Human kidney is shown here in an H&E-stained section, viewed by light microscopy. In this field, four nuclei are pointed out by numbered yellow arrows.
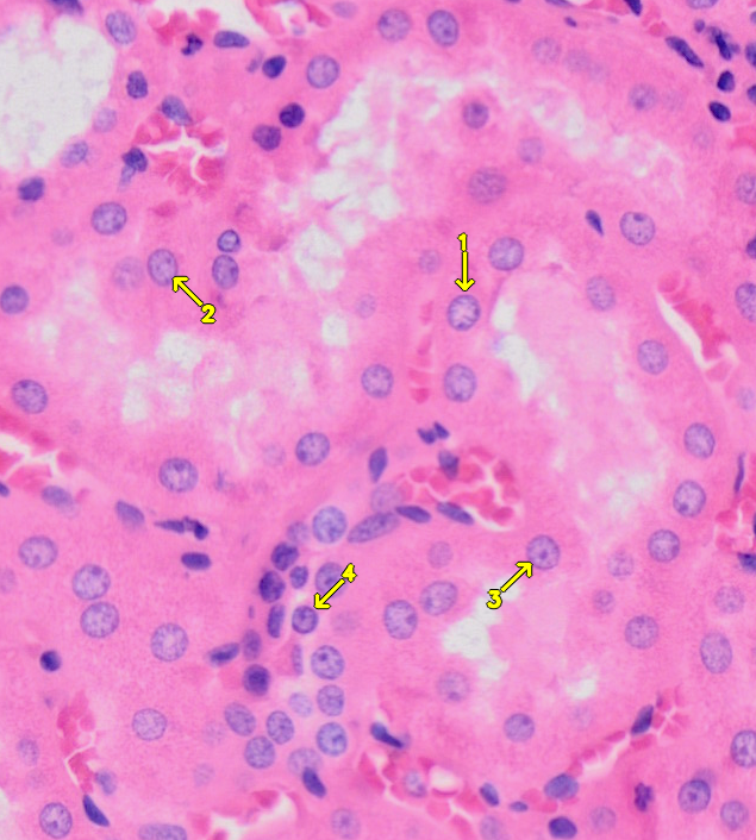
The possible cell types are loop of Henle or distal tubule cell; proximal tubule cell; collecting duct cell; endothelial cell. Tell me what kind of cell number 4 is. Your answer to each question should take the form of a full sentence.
The cell marked with the number 4 is a collecting duct cell.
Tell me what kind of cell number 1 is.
The cell given label 1 is a proximal tubule cell.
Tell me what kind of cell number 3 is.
That cell with number 3 is a proximal tubule cell.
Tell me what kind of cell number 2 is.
Cell 2, among those numbered, is a proximal tubule cell.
